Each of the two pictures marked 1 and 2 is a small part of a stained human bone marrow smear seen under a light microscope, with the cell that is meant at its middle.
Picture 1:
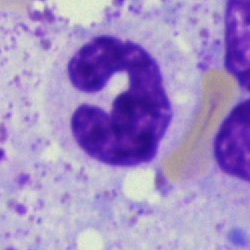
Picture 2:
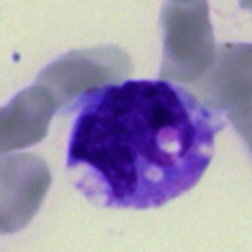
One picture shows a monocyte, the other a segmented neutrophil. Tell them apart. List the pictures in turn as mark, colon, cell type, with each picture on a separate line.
1: segmented neutrophil
2: monocyte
